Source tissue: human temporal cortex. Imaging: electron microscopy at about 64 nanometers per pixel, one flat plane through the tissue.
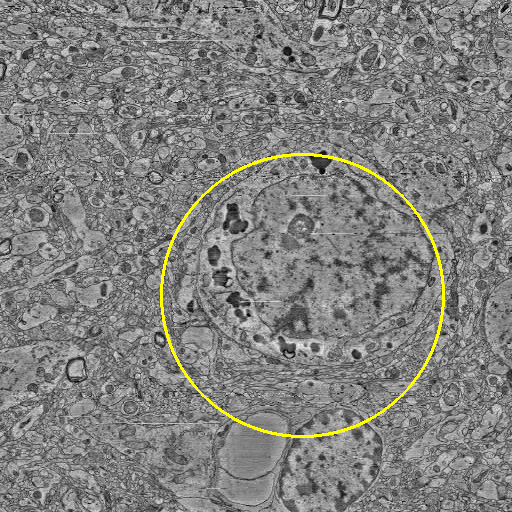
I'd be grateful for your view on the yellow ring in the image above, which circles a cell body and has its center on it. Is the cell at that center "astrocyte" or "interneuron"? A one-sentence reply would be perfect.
The cell at the center of the yellow ring is an interneuron.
